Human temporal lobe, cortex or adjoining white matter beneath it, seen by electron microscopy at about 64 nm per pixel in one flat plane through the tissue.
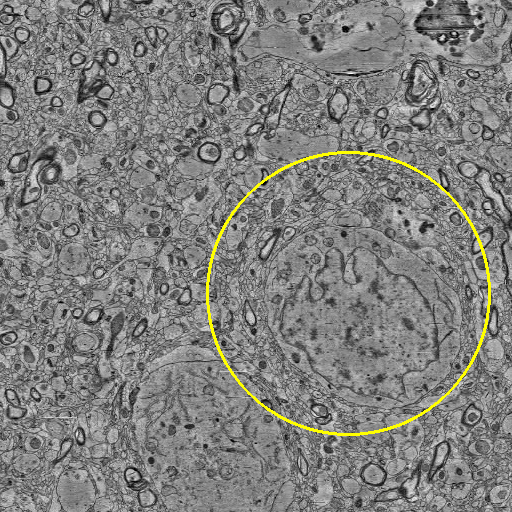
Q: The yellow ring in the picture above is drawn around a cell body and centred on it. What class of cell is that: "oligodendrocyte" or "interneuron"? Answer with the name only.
interneuron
